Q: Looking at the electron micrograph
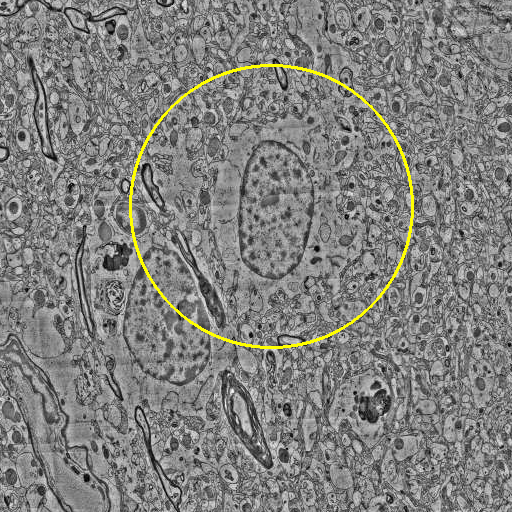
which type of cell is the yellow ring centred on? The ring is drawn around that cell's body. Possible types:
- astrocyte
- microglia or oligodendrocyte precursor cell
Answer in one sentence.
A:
The yellow ring is centred on an astrocyte.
